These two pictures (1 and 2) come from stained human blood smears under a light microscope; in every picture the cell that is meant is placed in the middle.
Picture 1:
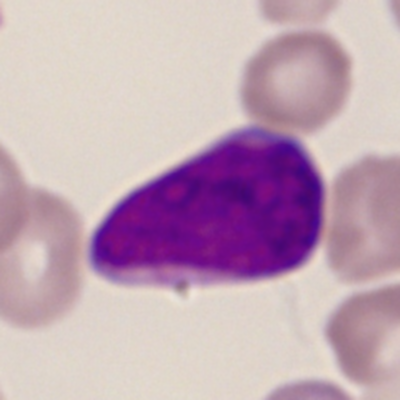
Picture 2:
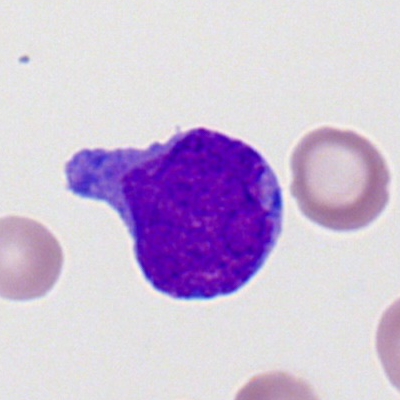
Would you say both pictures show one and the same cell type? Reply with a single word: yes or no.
yes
